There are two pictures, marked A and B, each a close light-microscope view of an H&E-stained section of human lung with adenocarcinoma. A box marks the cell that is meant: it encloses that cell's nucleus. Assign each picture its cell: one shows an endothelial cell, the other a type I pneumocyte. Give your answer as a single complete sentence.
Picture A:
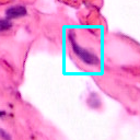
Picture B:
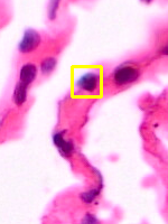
In picture A the cell is an endothelial cell; in picture B, a type I pneumocyte.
